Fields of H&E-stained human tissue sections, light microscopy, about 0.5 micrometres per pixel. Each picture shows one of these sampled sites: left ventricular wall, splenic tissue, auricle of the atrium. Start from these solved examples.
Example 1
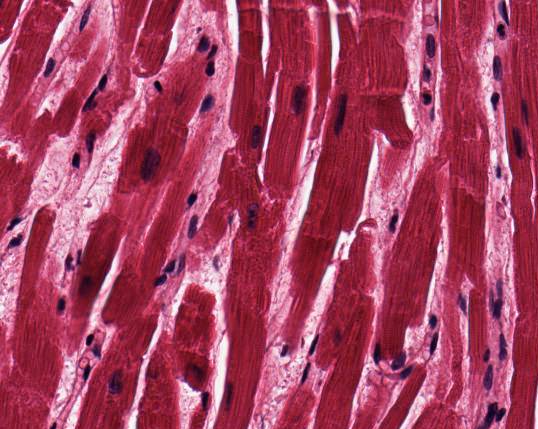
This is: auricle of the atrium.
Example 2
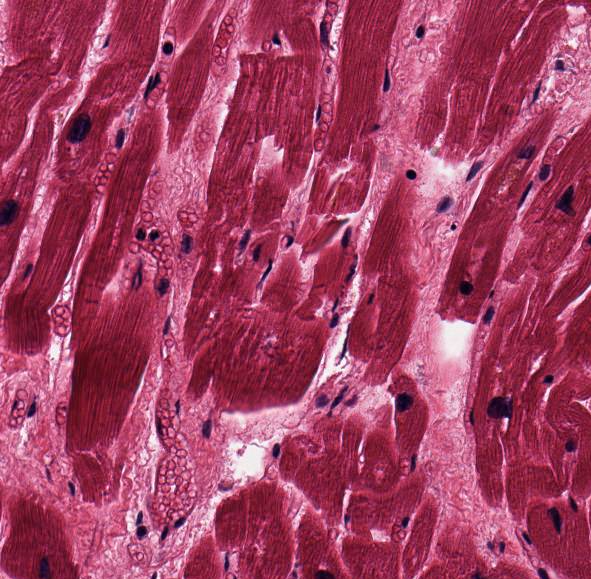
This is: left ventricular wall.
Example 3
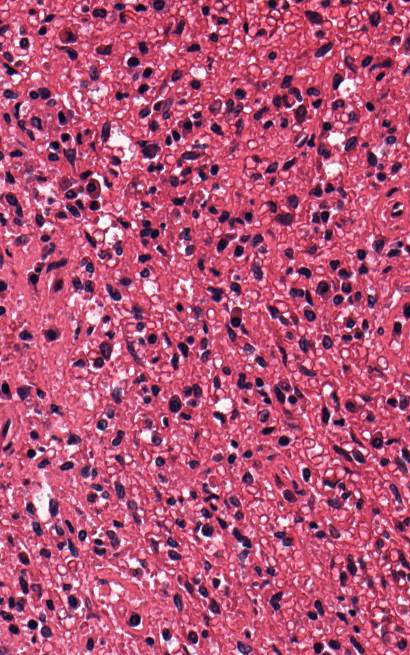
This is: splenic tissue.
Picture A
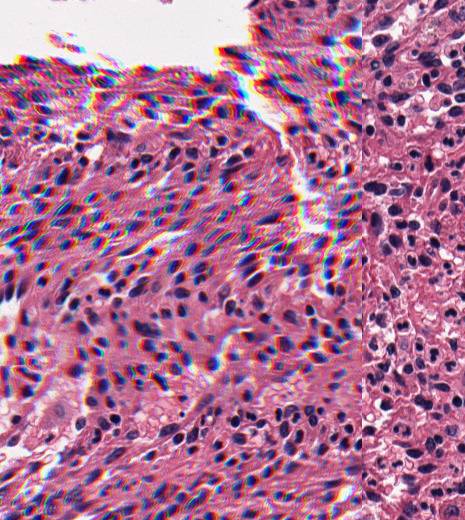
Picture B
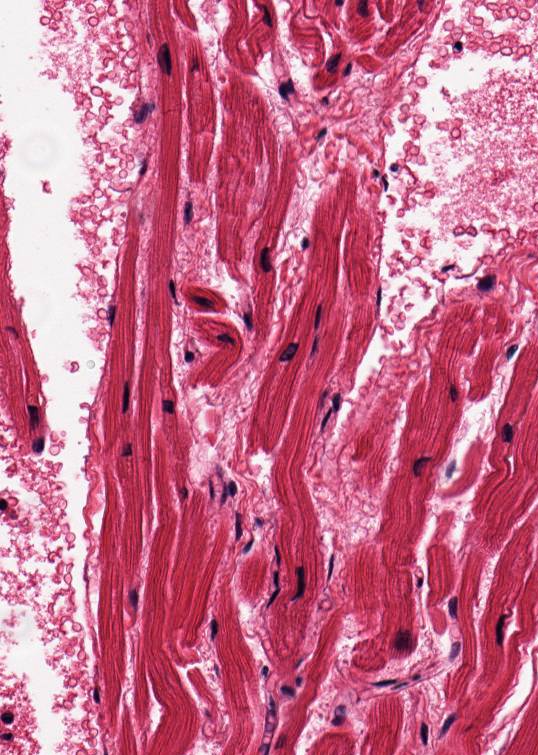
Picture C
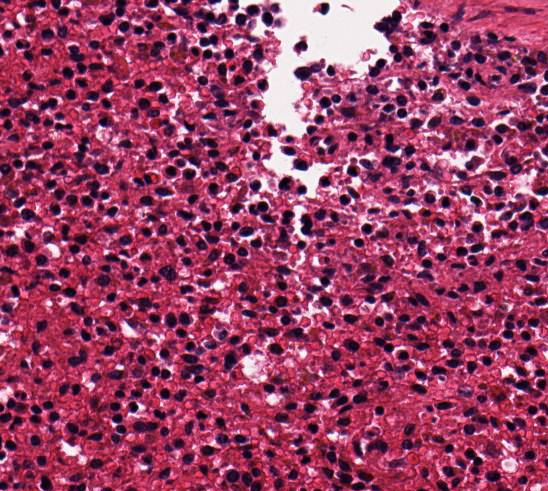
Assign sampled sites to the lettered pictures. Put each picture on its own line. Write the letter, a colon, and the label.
A: splenic tissue.
B: auricle of the atrium.
C: splenic tissue.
